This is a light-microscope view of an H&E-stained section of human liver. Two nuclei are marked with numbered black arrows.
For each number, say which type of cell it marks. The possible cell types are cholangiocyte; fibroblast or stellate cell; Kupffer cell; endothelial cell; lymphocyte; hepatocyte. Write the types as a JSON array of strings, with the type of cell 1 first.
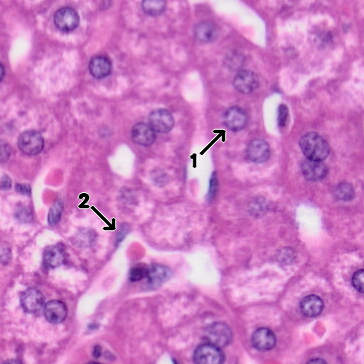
["hepatocyte", "endothelial cell"]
